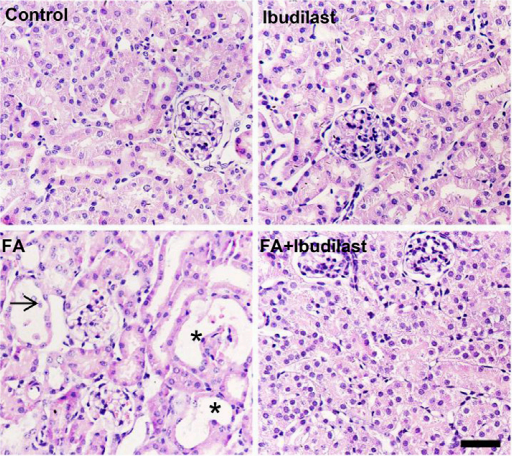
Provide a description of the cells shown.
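These are four fields of kidney cortex in pink and purple staining, each showing closely packed tubules with round purple nuclei and one or more glomeruli as compact tufts of nuclei. In three of the fields the tubules are tightly packed, with cuboidal epithelium and narrow lumens. The lower-left field is different: several tubules are markedly dilated, with wide empty lumens lined by thin, flattened epithelium, and some lumens hold loose pale debris.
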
